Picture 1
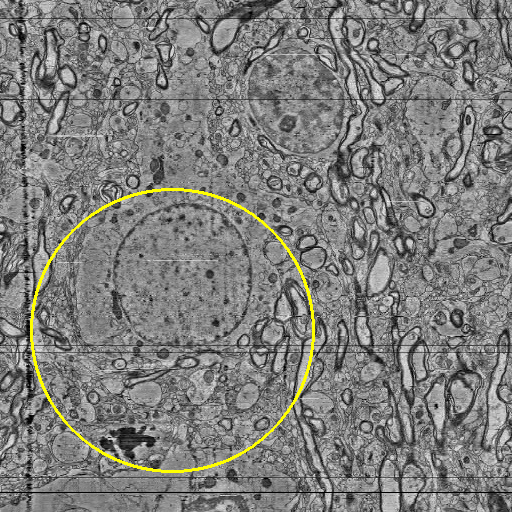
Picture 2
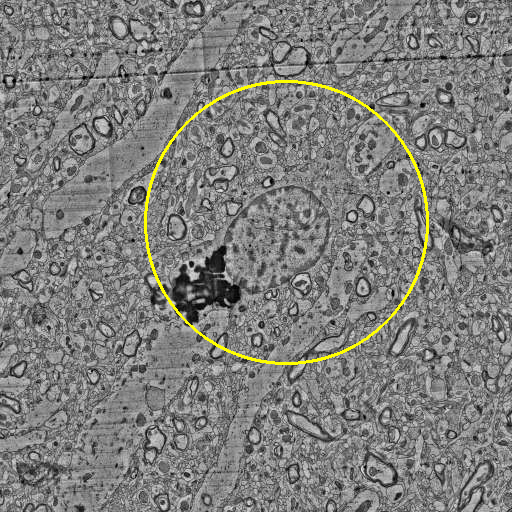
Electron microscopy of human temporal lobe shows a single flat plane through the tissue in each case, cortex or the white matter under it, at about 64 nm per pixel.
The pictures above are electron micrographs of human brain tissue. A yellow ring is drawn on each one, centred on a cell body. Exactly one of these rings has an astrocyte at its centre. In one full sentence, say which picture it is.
Picture 1 has it at the centre of its ring.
